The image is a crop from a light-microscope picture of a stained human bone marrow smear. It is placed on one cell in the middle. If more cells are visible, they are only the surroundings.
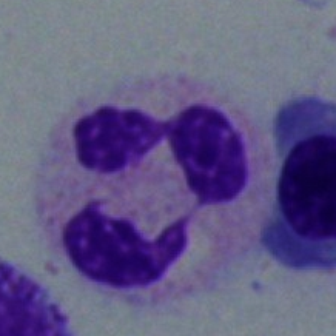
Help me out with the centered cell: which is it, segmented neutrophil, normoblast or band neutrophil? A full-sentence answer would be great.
At the center of the crop sits a segmented neutrophil.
